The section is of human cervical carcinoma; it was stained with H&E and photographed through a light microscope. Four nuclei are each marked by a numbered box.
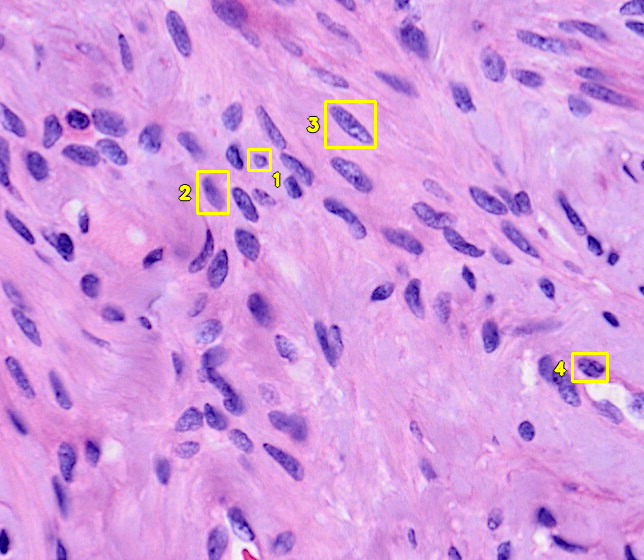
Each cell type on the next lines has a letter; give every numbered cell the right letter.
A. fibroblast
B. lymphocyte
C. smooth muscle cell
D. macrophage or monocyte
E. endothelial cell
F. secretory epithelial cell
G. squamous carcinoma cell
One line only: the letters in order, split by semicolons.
A; A; A; E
